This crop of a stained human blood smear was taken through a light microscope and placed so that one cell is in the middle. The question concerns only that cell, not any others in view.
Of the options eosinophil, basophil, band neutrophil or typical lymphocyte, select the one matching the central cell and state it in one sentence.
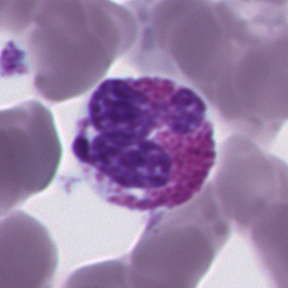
The cell of interest, located centrally, is an eosinophil.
